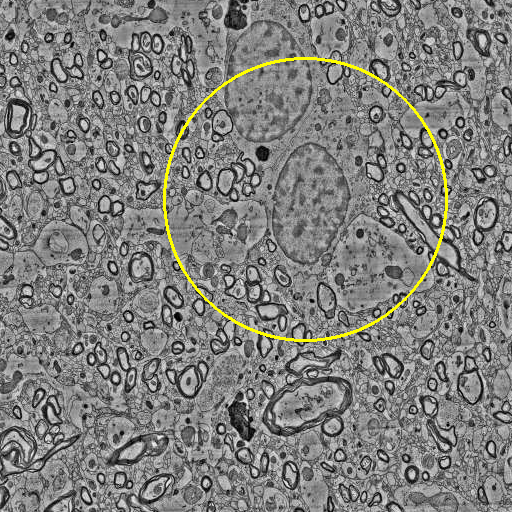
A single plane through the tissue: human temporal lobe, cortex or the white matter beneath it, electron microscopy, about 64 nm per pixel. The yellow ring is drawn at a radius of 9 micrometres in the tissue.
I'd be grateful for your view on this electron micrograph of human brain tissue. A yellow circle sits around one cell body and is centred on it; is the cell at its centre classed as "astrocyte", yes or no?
no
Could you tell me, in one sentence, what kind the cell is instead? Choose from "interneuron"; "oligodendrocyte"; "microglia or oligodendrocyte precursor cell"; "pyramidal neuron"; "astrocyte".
Instead, the ring surrounds an oligodendrocyte in this picture.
